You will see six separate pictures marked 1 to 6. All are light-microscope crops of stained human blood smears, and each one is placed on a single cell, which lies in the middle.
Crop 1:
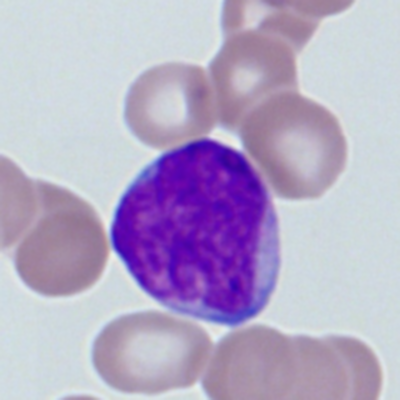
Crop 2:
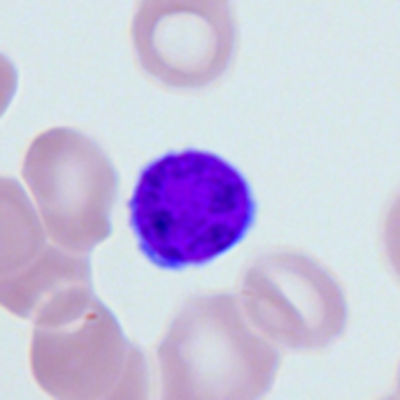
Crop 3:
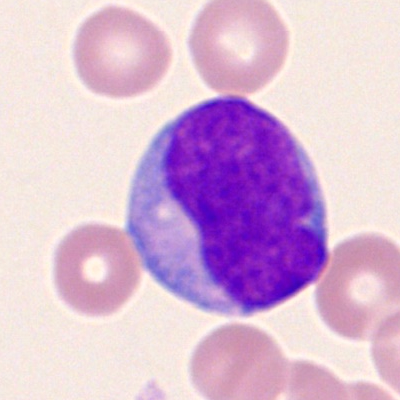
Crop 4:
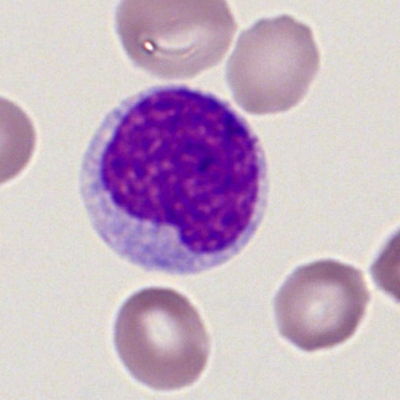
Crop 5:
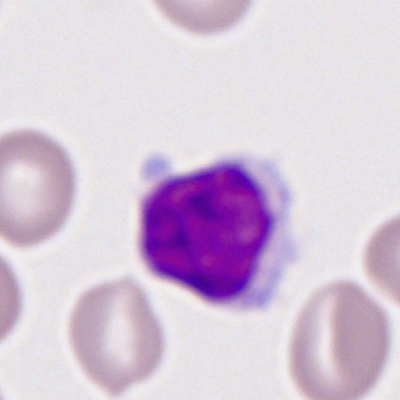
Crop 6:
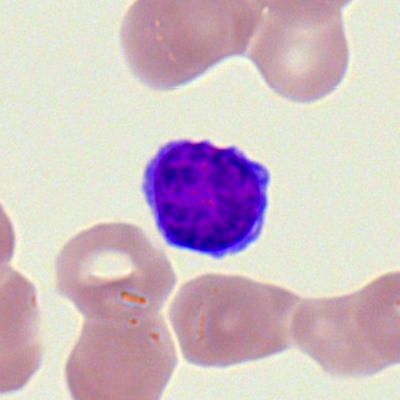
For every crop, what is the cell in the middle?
1: myeloblast
2: lymphocyte
3: myeloblast
4: lymphocyte
5: lymphocyte
6: lymphocyte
